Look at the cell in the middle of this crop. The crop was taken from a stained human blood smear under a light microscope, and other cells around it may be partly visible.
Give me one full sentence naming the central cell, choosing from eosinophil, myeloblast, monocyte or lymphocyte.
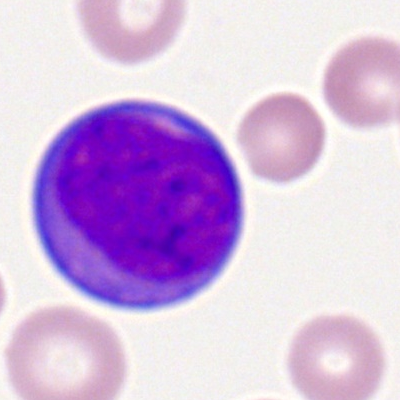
Positioned in the middle of the crop is a myeloblast.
